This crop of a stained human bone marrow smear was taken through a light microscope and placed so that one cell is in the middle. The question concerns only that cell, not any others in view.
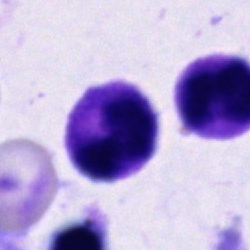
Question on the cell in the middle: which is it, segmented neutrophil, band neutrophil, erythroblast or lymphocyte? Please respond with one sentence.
By type, the central cell of the crop is a segmented neutrophil.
